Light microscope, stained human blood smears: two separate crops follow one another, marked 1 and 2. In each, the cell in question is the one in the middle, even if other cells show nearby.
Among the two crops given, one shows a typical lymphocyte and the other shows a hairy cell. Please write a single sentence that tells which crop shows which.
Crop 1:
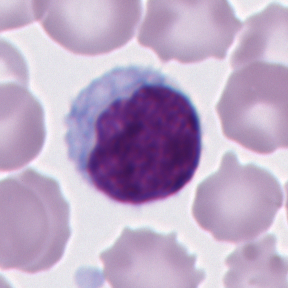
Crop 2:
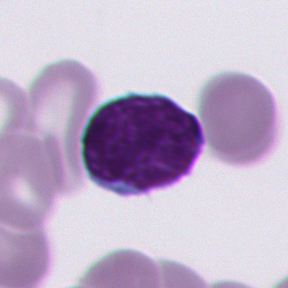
Crop 2 is a typical lymphocyte, while crop 1 is a hairy cell.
